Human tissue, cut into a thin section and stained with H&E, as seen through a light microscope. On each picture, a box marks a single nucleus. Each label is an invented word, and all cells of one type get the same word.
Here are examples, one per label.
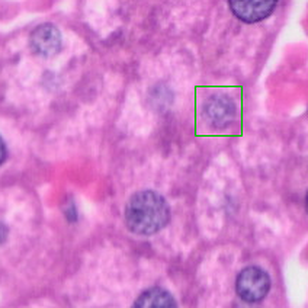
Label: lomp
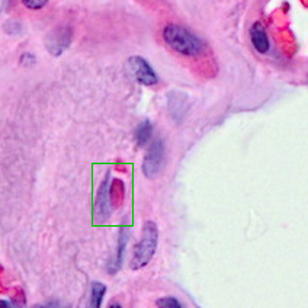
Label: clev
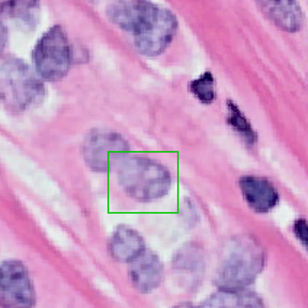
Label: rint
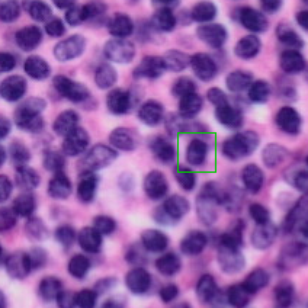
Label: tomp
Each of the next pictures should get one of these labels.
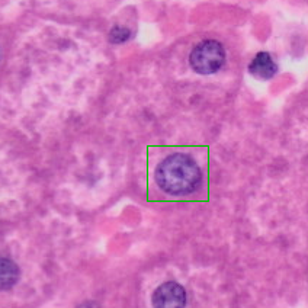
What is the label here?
lomp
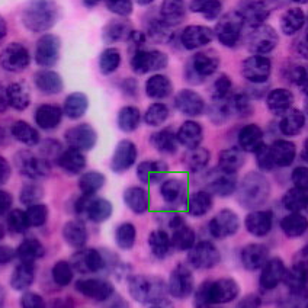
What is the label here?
tomp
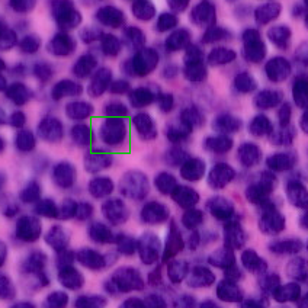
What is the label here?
tomp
